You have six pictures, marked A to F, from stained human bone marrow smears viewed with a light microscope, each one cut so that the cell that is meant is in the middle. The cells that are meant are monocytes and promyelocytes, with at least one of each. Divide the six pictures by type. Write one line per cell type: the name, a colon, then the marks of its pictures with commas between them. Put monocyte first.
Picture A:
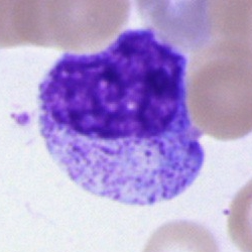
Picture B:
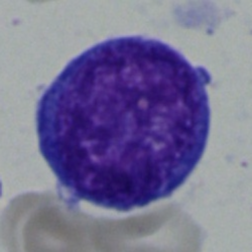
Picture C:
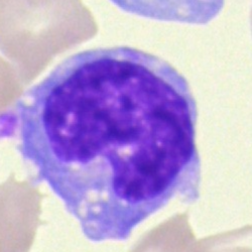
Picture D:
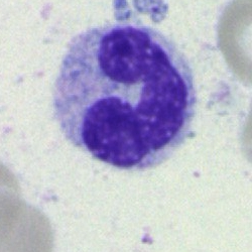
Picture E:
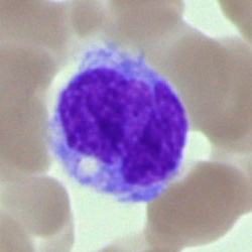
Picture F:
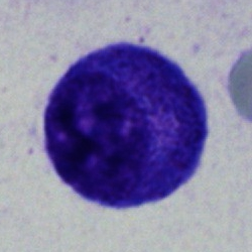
monocyte: C, D, E
promyelocyte: A, B, F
